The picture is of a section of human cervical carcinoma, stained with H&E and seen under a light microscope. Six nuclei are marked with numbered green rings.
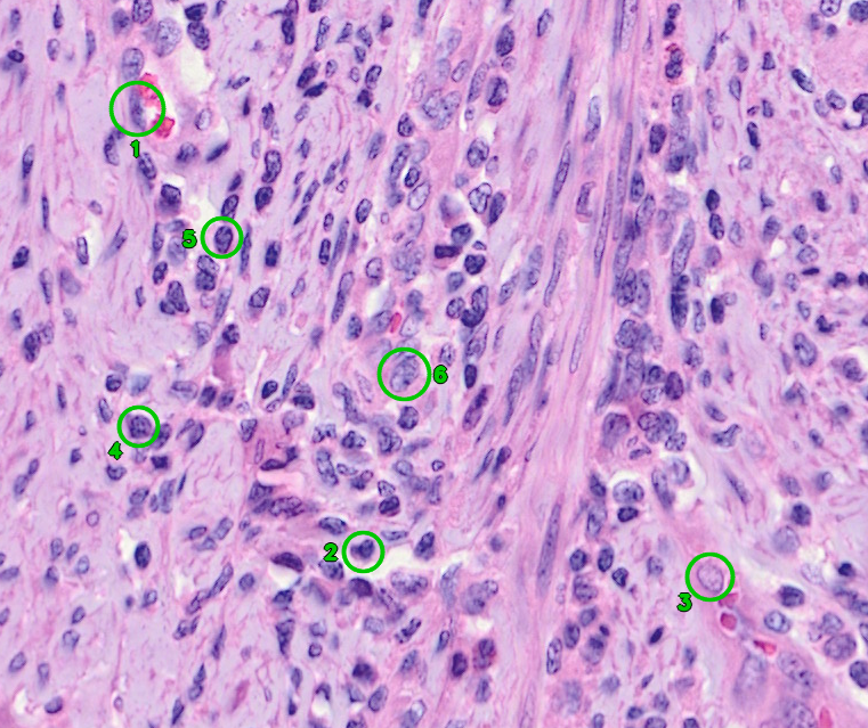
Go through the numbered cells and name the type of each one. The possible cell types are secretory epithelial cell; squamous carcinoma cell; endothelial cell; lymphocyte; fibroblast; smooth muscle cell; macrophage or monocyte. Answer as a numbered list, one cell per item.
1. endothelial cell
2. lymphocyte
3. endothelial cell
4. lymphocyte
5. lymphocyte
6. endothelial cell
